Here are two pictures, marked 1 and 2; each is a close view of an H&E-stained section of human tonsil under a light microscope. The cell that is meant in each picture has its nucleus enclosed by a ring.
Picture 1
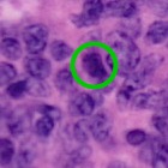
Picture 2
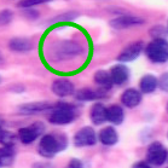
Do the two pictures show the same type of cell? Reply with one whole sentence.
No, they differ: the cell is a proliferating B cell in picture 1 and an endothelial cell in picture 2.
